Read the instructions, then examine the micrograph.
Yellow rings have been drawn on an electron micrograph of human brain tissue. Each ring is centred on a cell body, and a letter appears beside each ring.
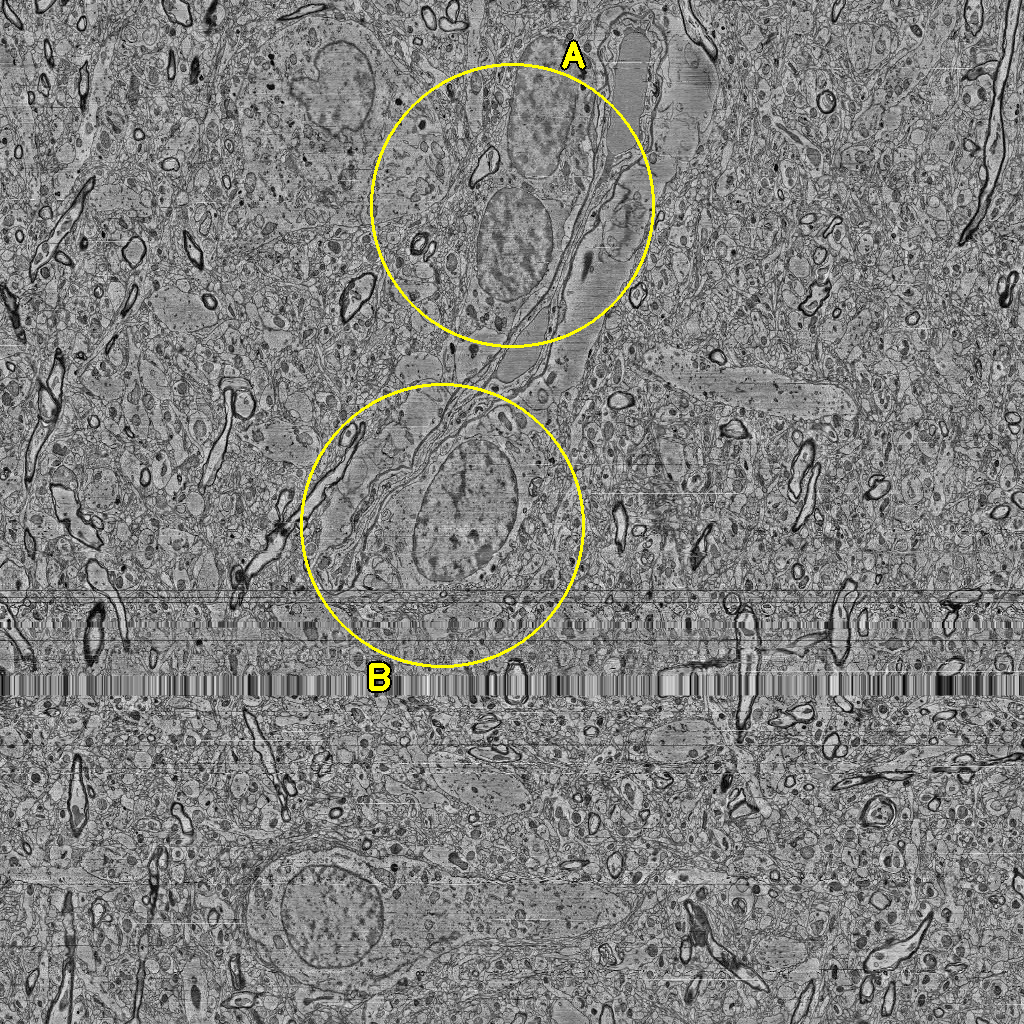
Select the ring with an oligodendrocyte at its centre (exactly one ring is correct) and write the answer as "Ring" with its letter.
Ring A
